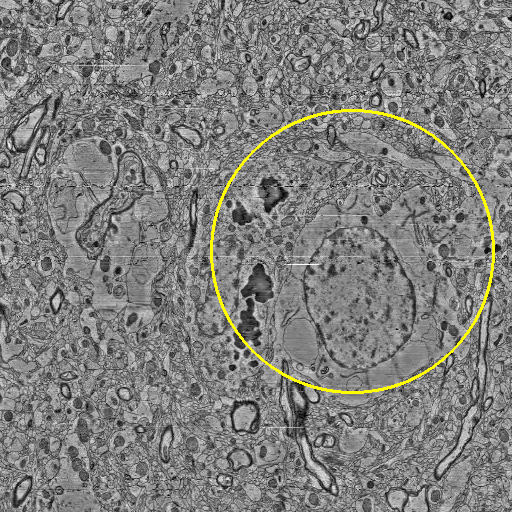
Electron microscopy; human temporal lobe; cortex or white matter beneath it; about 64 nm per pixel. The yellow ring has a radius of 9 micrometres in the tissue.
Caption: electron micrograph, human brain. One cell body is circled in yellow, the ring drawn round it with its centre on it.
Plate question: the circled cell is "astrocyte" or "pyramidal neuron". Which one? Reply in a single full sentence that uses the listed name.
The yellow ring on the plate is centred on an astrocyte, going by the listed names.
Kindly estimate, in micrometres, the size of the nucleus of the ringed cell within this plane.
Roughly 10 by 7 micrometres in this plane, for the nucleus of the ringed cell.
